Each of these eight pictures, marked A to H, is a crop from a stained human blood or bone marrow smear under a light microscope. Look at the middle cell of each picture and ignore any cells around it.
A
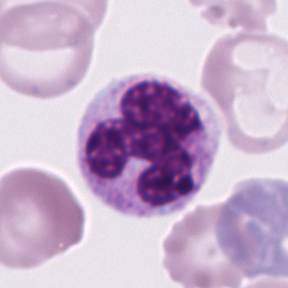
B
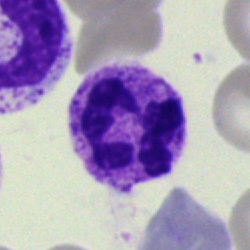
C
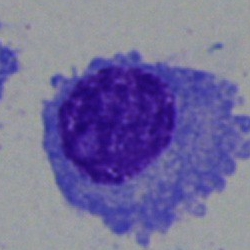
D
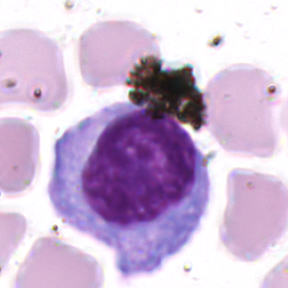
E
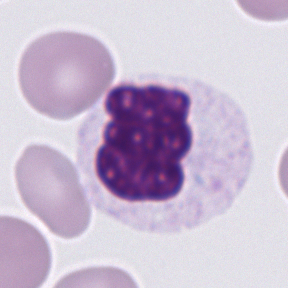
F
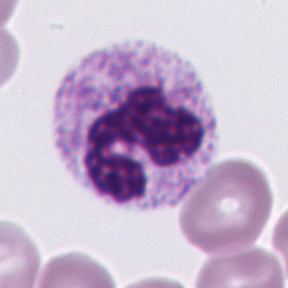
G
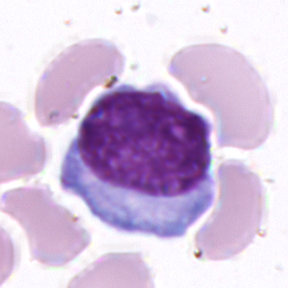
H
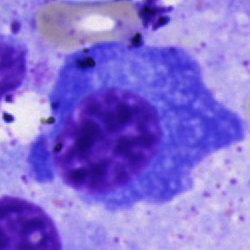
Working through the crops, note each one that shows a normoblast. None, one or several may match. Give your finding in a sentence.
From first crop to last, none of them contains a normoblast.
